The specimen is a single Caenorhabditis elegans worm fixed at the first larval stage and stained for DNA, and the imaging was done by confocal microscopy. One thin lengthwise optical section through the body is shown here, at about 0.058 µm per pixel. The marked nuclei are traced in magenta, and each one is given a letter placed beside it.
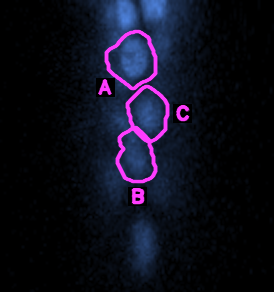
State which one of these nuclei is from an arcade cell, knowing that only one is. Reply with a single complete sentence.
B is from an arcade cell.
